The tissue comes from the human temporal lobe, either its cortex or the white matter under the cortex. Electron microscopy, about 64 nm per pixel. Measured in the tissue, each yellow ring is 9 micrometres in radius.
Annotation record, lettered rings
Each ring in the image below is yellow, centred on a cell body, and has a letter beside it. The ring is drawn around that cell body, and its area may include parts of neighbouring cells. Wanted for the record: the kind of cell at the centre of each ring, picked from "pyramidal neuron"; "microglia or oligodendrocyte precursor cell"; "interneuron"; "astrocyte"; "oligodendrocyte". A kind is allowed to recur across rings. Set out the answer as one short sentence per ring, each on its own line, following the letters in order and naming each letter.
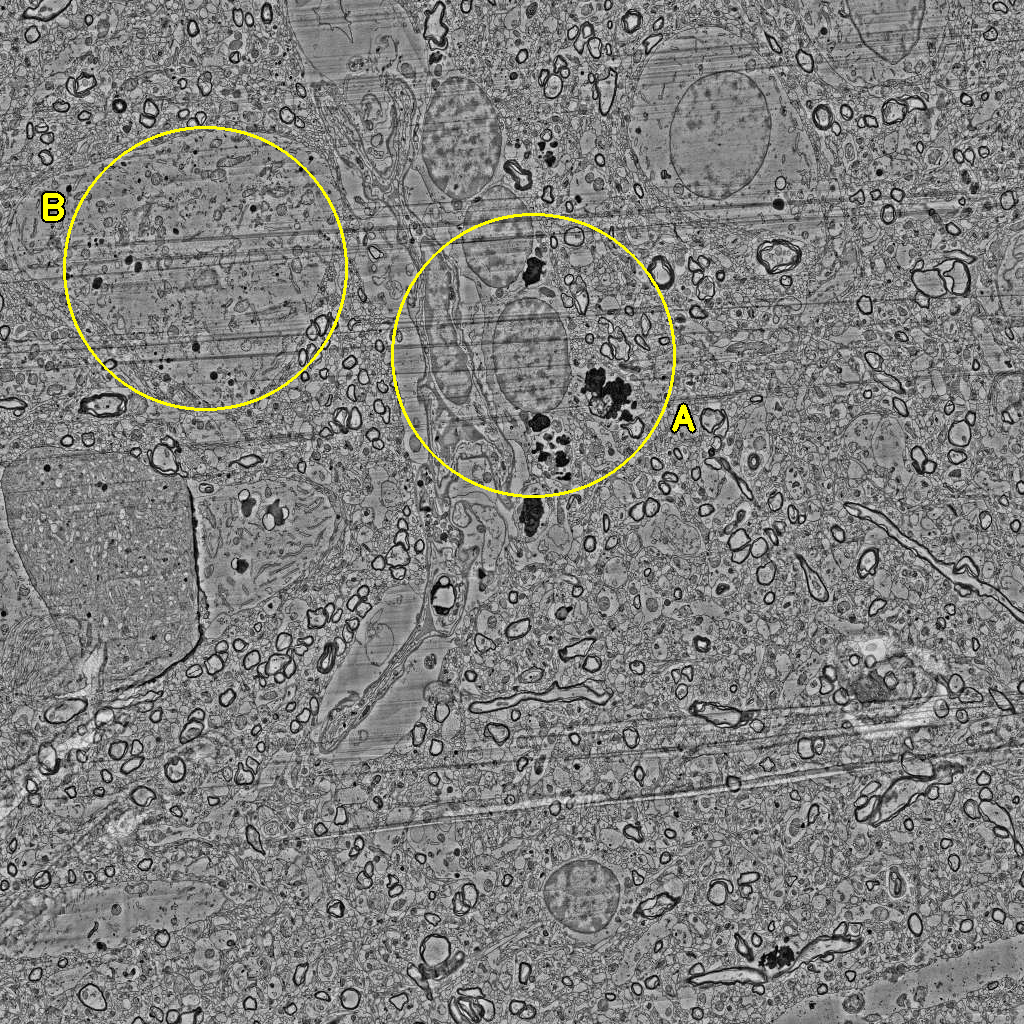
Ring A was drawn on an oligodendrocyte.
Ring B was drawn on a pyramidal neuron.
